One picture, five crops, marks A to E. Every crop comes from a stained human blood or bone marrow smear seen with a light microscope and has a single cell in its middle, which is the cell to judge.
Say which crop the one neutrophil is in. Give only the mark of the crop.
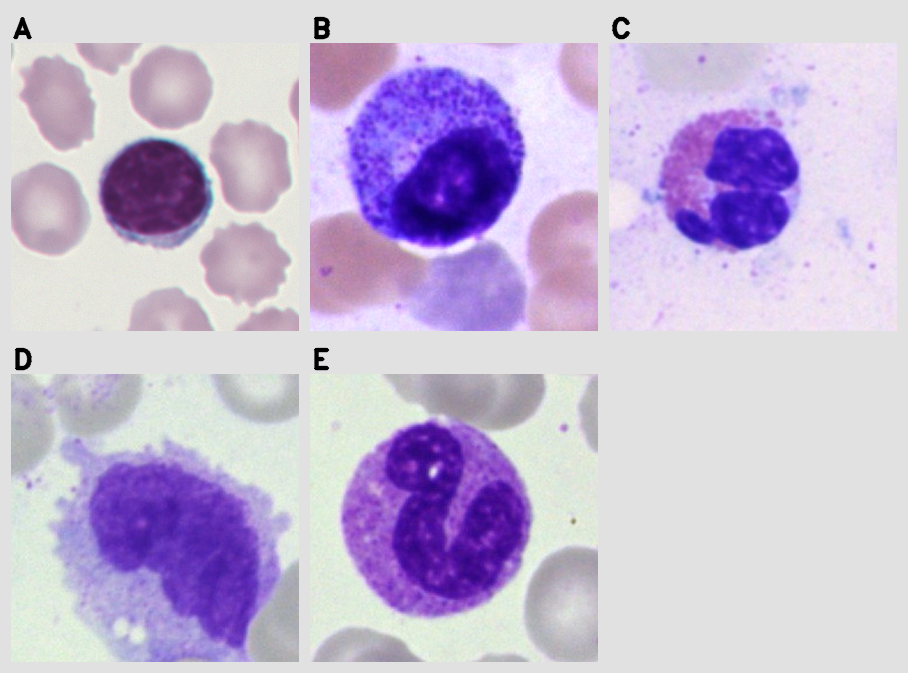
E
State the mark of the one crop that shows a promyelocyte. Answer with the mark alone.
B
